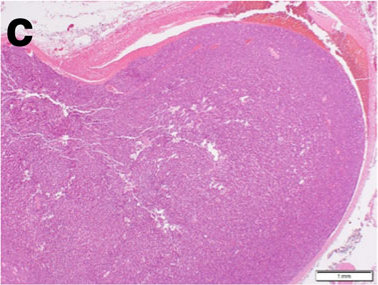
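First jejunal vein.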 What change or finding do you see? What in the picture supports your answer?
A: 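A large rounded mass of densely cellular tissue fills a space bounded by a thin pink wall. The wall is stretched around the mass at the top.
Answer: tumor thrombus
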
